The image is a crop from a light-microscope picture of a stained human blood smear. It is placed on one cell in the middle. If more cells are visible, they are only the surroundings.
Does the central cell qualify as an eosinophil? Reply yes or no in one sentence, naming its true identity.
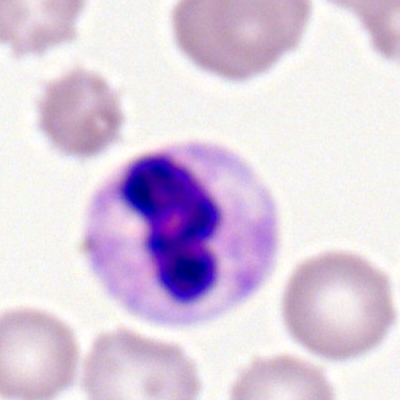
No, at the centre of this crop is found a segmented neutrophil instead of an eosinophil.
